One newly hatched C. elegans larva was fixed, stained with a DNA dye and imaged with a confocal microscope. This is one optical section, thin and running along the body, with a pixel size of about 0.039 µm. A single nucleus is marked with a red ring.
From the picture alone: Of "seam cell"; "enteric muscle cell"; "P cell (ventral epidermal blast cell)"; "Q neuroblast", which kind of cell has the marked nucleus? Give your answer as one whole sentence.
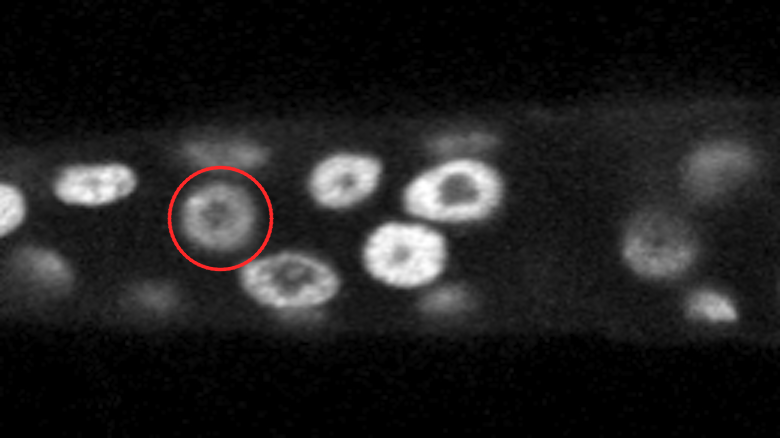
The marked cell is a seam cell.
